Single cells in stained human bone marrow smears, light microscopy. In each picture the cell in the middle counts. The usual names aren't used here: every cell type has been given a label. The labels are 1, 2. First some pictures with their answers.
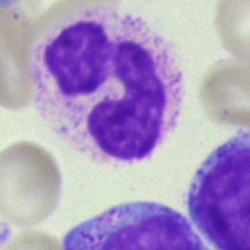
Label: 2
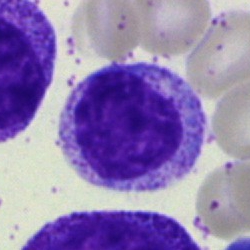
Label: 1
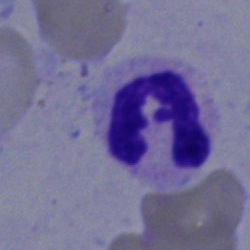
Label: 2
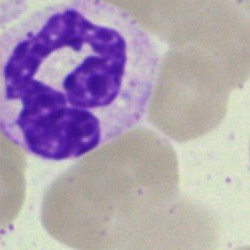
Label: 2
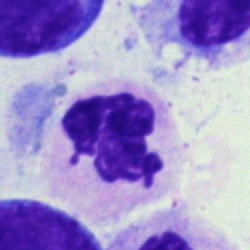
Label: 2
